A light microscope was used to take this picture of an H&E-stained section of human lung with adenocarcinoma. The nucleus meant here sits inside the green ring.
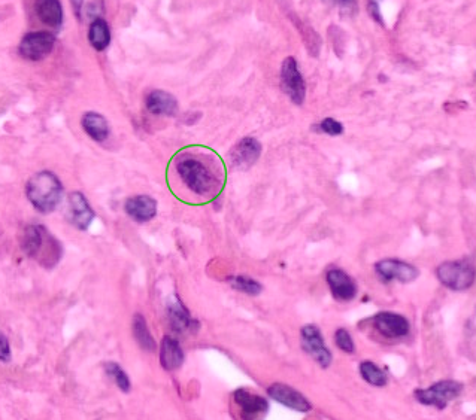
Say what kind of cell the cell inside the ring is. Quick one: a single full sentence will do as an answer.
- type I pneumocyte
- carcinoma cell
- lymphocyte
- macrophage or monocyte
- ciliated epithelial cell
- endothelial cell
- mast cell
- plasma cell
The identity of the cell inside the ring is that of a plasma cell.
